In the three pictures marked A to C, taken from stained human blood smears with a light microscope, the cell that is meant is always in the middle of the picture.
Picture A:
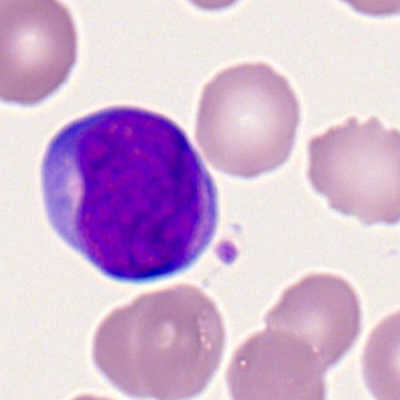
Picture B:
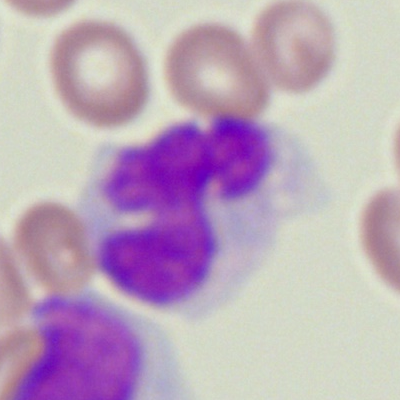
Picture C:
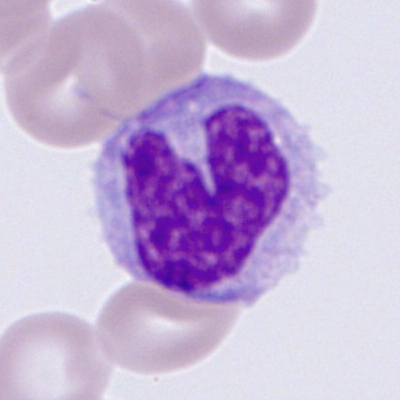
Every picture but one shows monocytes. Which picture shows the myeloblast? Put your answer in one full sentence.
Picture A is the one that shows the myeloblast.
